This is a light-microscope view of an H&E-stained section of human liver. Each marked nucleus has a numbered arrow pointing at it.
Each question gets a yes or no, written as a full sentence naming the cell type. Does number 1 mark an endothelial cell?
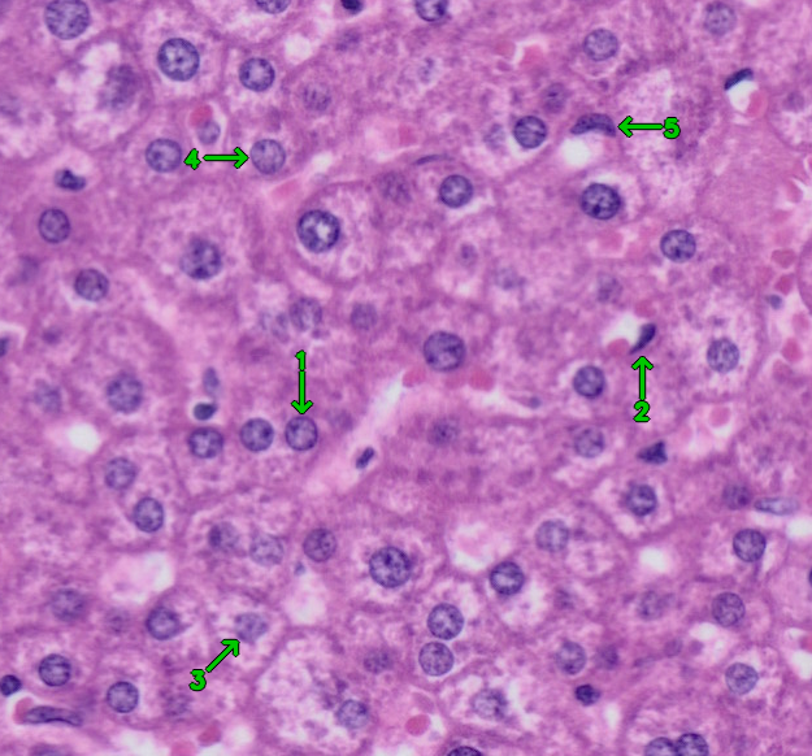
No, cell 1 is not to be taken for an endothelial cell; it is a hepatocyte.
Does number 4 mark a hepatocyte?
Yes, the cell numbered 4 in this tissue is a hepatocyte.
